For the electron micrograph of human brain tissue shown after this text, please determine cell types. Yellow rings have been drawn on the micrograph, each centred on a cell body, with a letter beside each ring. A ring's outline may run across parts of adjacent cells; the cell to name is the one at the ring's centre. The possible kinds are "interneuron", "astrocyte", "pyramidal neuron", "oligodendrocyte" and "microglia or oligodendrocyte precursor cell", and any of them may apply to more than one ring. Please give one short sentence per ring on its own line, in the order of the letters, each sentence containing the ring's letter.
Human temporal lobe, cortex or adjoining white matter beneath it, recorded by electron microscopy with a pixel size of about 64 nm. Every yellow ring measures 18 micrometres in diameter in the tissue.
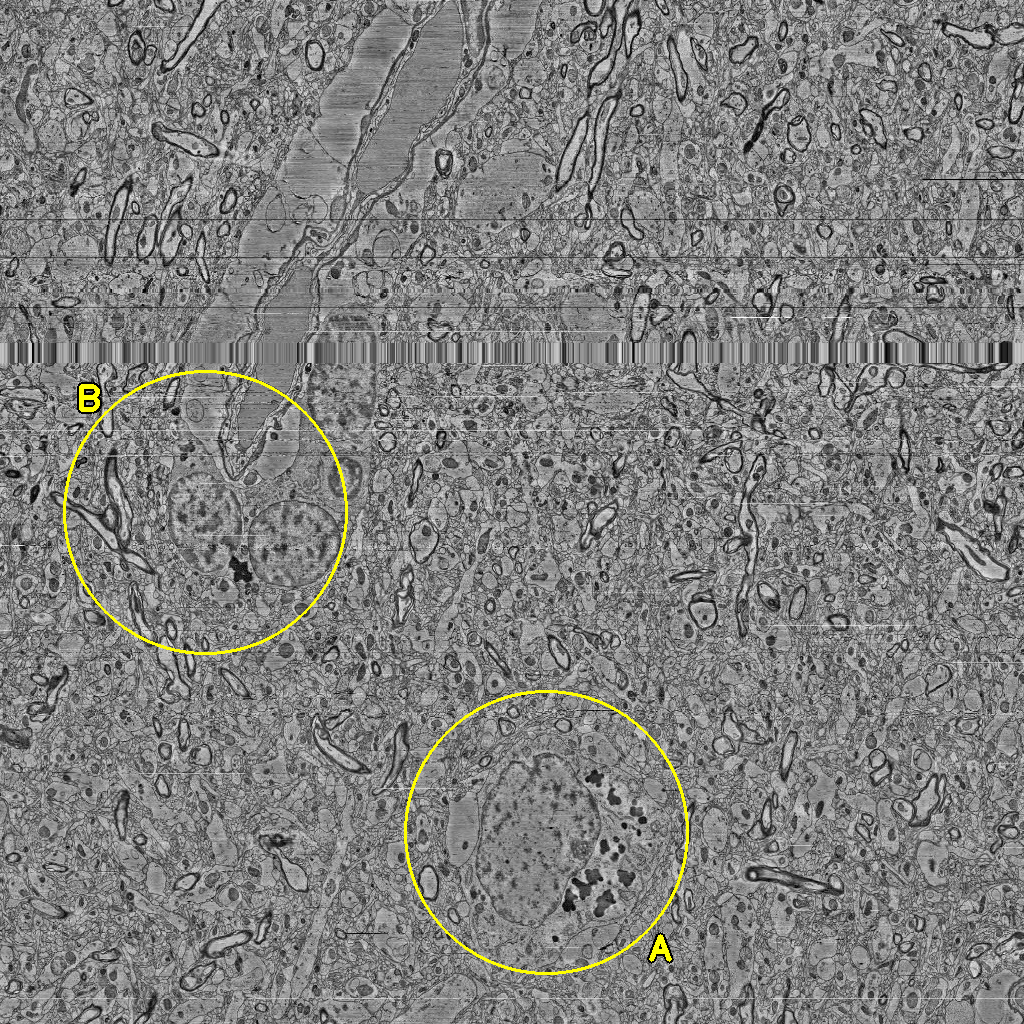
Ring A is set around an interneuron.
Ring B is set around an oligodendrocyte.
